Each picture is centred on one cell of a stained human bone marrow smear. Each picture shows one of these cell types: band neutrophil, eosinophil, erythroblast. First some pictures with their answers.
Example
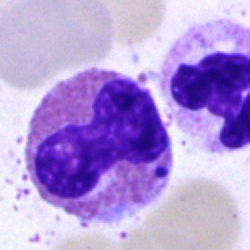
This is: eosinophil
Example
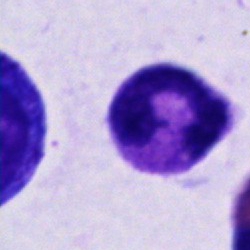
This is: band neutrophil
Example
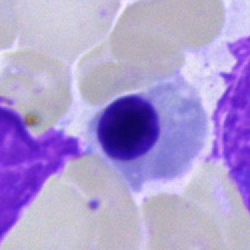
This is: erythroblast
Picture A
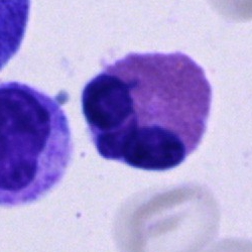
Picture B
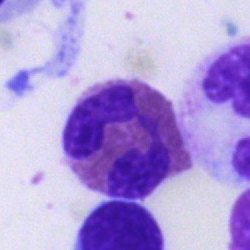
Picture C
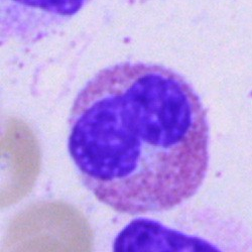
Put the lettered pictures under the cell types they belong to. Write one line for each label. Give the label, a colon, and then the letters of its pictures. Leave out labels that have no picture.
eosinophil: A, B, C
